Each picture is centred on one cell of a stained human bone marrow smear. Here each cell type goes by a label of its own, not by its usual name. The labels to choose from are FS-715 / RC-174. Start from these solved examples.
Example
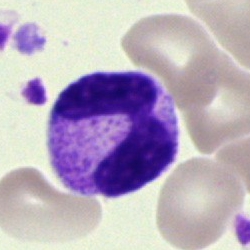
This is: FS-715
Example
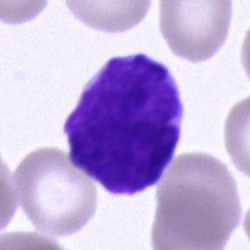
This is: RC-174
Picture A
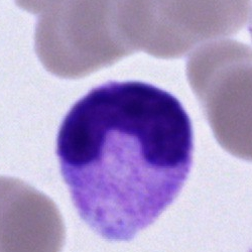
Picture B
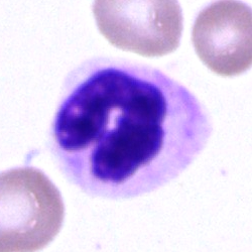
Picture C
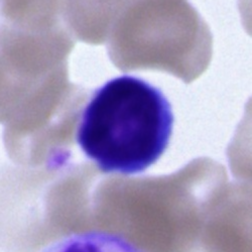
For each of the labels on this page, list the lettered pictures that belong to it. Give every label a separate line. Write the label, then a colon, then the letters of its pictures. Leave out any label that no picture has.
FS-715: A, B
RC-174: C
